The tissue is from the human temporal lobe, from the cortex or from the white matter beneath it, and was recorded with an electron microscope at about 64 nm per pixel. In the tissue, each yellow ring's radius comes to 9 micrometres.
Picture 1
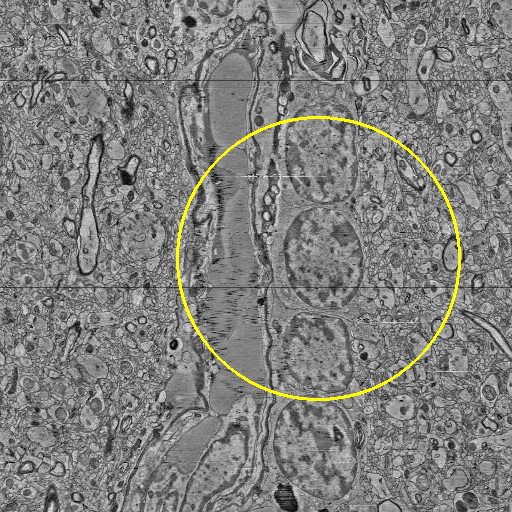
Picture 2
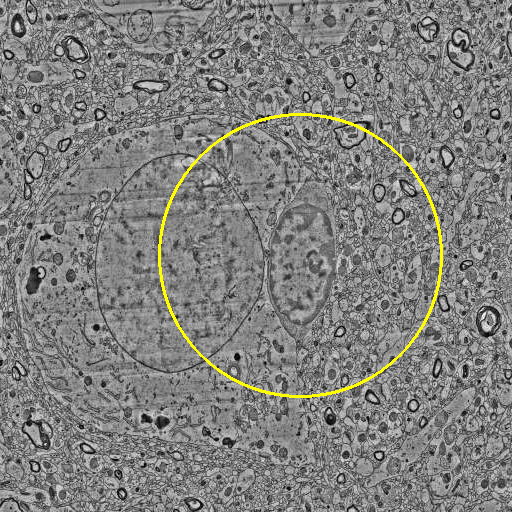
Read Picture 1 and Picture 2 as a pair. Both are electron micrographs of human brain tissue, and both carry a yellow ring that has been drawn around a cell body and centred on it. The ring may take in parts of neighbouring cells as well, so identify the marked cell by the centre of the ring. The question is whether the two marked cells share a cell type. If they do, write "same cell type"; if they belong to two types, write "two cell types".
same cell type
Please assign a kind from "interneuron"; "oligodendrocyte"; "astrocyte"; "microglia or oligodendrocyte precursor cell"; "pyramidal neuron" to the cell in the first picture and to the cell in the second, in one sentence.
Each one of the two ringed cells is an oligodendrocyte.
